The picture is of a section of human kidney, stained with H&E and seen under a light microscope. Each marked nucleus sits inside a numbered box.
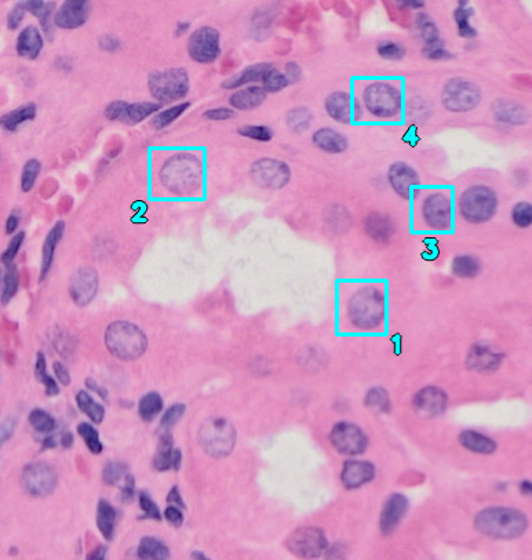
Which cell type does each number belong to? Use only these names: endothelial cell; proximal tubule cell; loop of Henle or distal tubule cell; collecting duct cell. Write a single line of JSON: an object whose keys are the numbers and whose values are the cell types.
{"1": "proximal tubule cell", "2": "proximal tubule cell", "3": "collecting duct cell", "4": "collecting duct cell"}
